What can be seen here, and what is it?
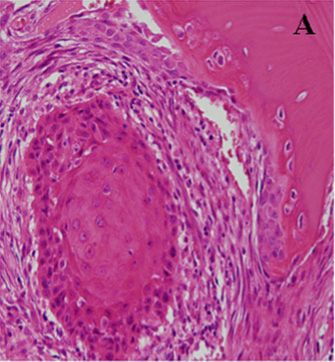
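Nest of squamous carcinoma cells invading toward bone. The oval nest consists of polygonal cells with pink cytoplasm and round to oval nuclei; its centre is paler and more eosinophilic, the cells there larger and flattened toward keratinisation. Around the nest lies cellular stroma with spindle-shaped cells and many small dark nuclei arranged in concentric layers. A narrow cleft separates the stroma from dense, homogeneous pink bone matrix at the upper right, in which scattered lacunae hold small osteocytes.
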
